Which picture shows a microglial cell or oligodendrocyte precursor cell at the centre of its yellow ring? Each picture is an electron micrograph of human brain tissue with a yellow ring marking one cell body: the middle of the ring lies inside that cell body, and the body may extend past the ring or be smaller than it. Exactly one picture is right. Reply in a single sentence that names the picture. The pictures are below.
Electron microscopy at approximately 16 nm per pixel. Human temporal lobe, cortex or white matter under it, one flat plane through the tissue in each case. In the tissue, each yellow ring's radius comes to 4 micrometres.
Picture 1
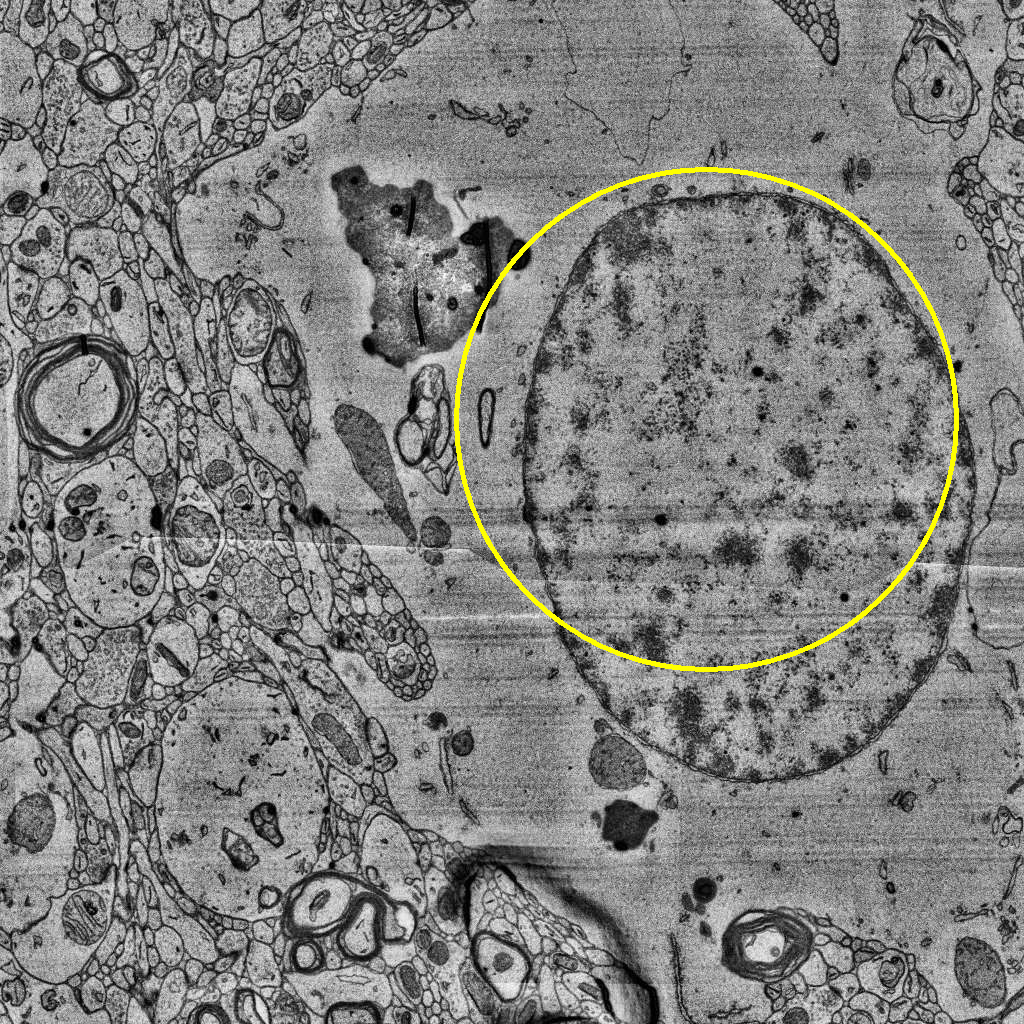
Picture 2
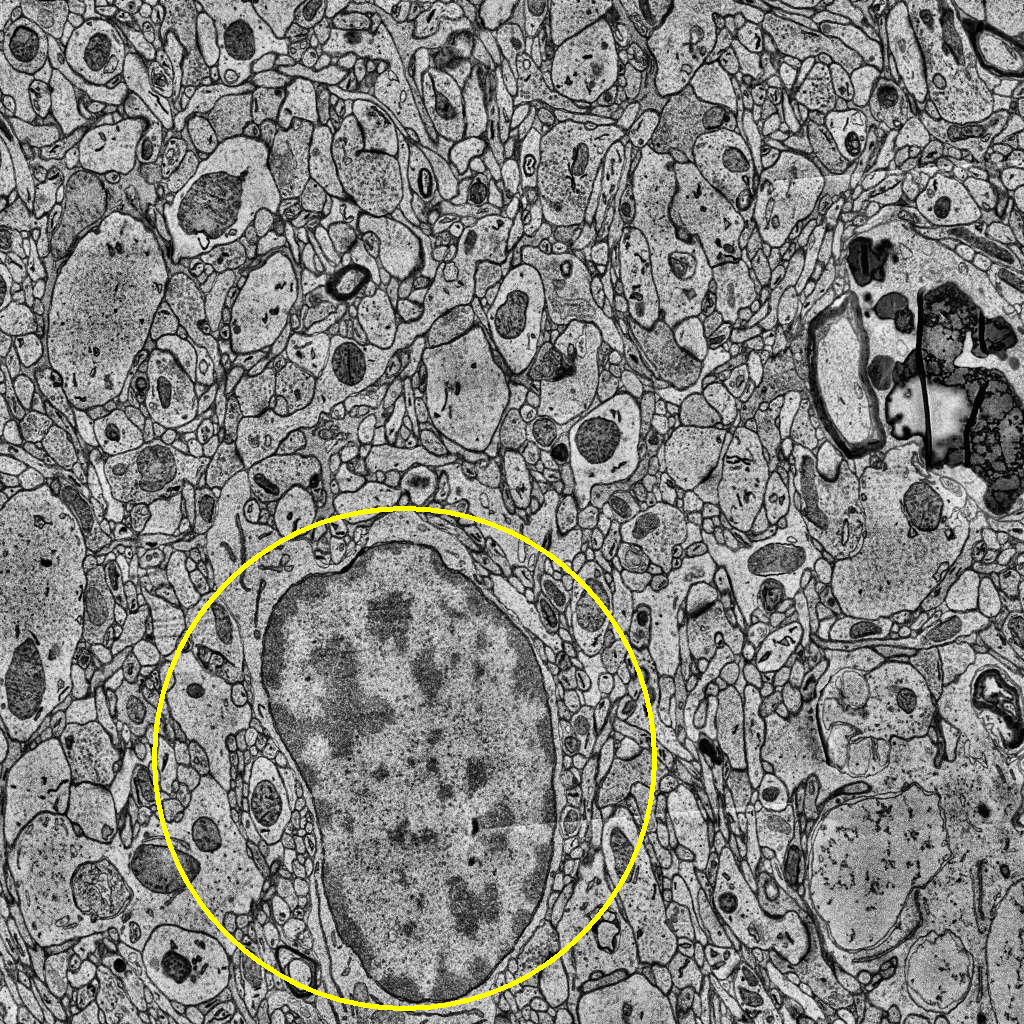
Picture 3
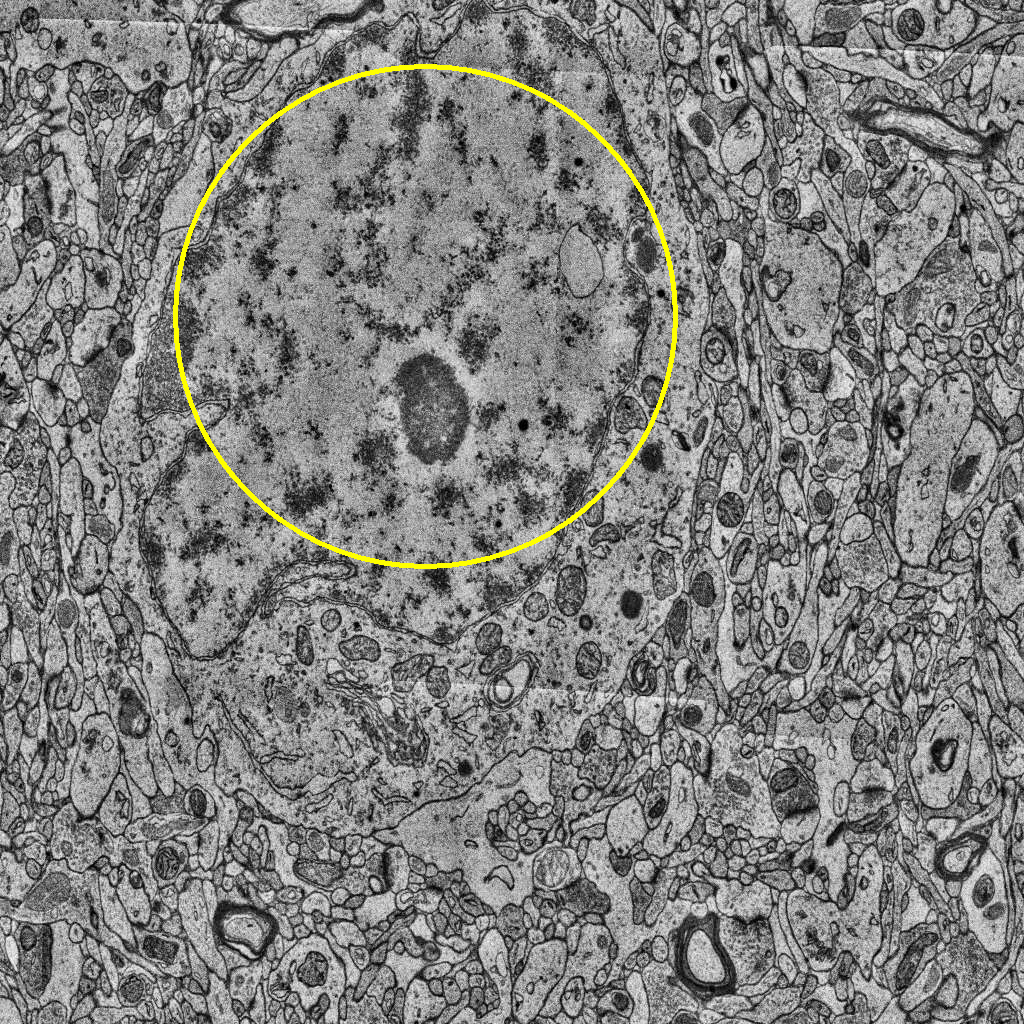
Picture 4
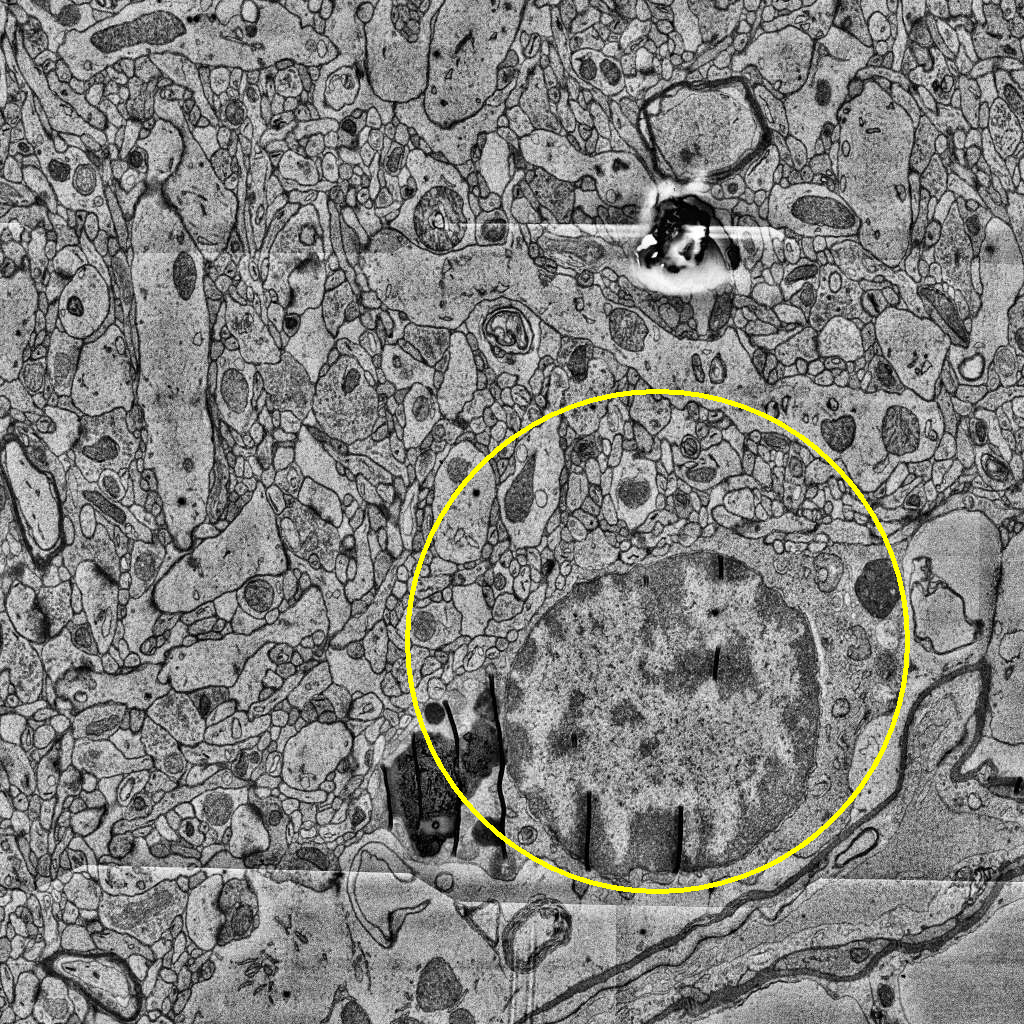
Picture 2 shows it.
